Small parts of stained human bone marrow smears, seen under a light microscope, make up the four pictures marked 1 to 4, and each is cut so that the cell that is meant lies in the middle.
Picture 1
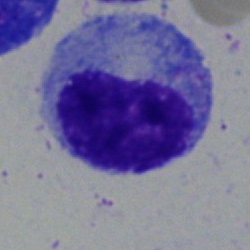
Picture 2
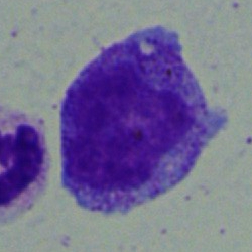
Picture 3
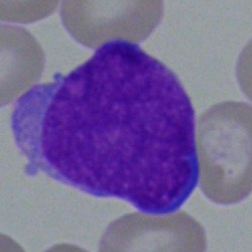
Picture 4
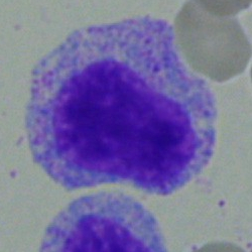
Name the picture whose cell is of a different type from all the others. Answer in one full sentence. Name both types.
Picture 3 differs, because its cell is a blast and the rest are myelocytes.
